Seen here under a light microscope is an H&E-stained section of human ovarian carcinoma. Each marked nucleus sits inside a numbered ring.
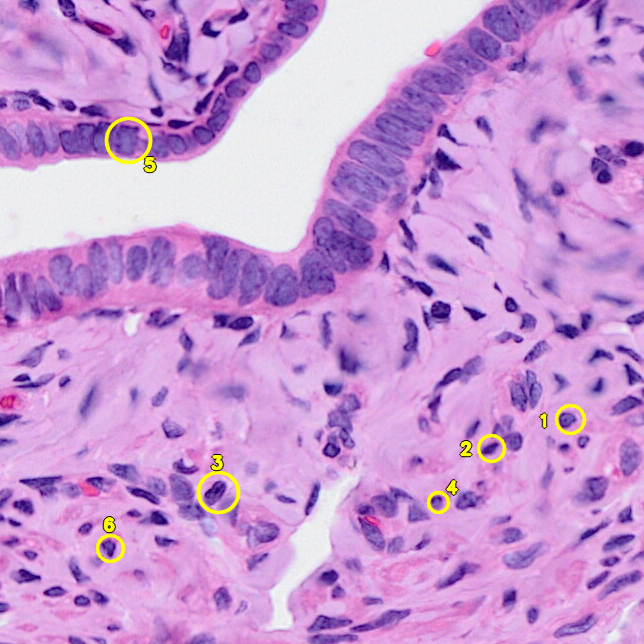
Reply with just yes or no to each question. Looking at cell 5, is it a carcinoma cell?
yes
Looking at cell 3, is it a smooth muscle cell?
no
